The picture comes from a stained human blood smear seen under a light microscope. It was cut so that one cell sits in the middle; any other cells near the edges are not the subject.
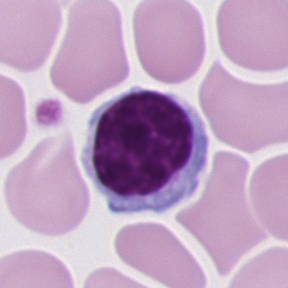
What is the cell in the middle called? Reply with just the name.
typical lymphocyte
